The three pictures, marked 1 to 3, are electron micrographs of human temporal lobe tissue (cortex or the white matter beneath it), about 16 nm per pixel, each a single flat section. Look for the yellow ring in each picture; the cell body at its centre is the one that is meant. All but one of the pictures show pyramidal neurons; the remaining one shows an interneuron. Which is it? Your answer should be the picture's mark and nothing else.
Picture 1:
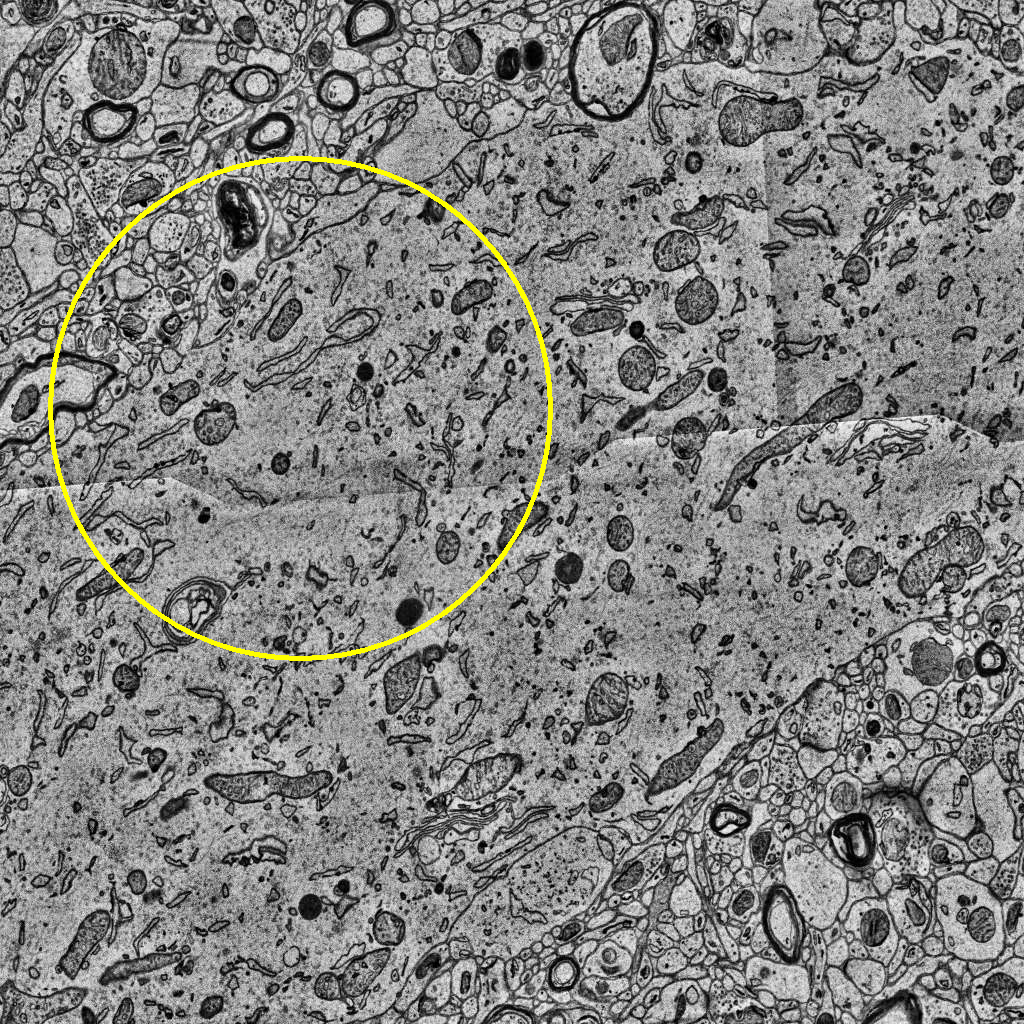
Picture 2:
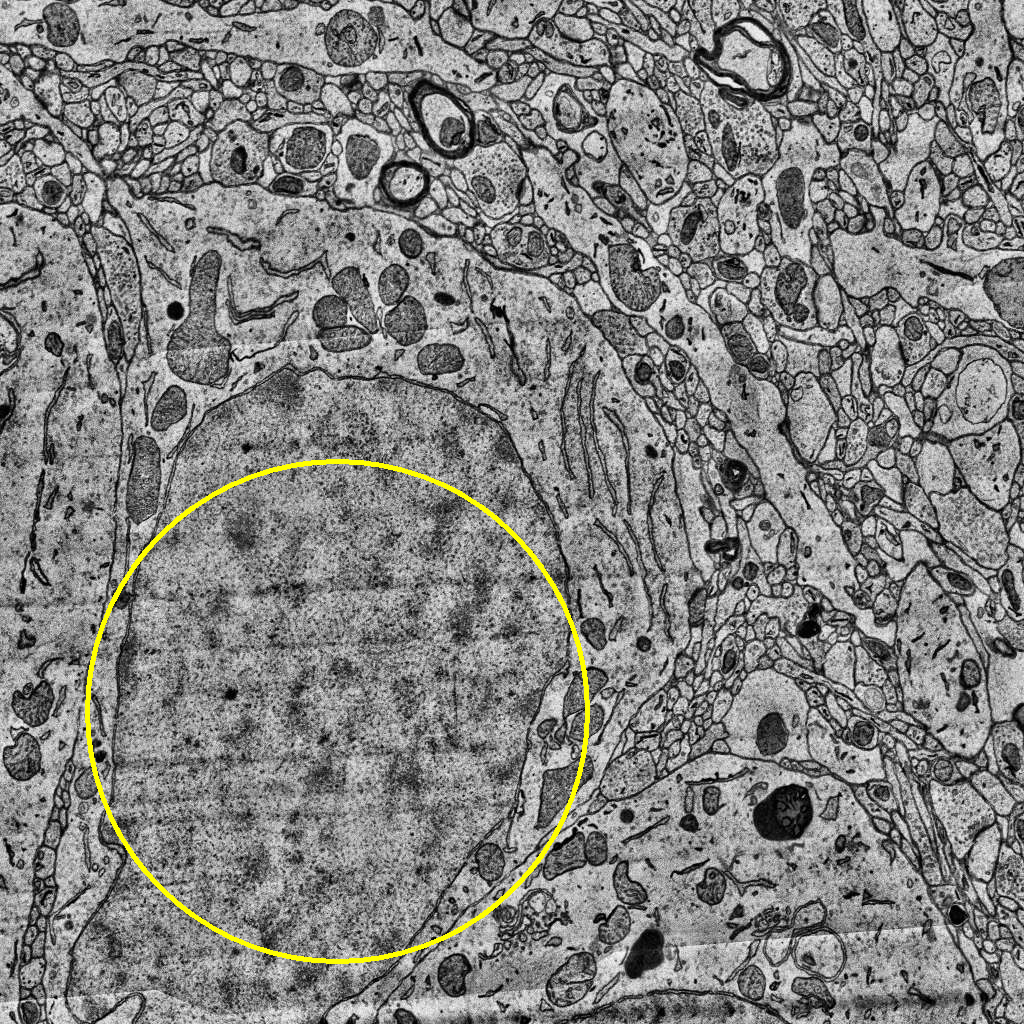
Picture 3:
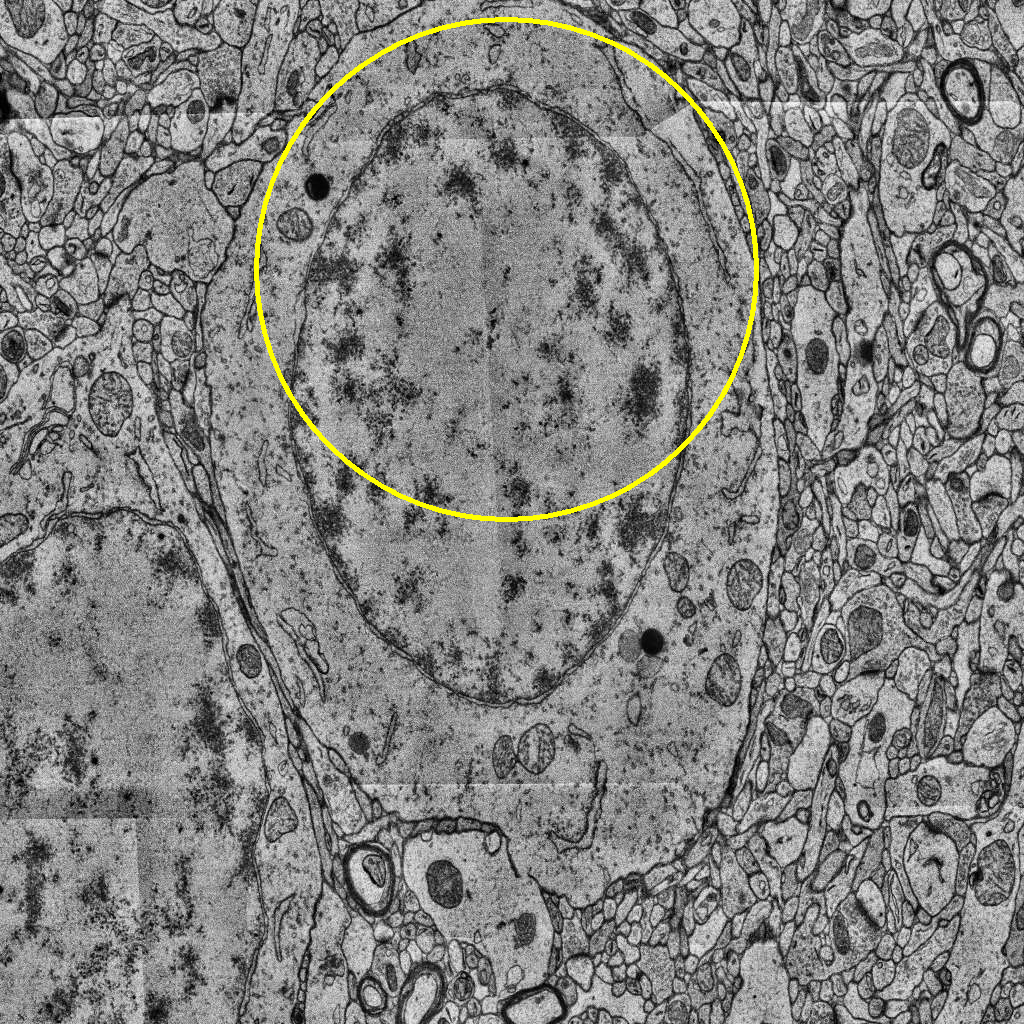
2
